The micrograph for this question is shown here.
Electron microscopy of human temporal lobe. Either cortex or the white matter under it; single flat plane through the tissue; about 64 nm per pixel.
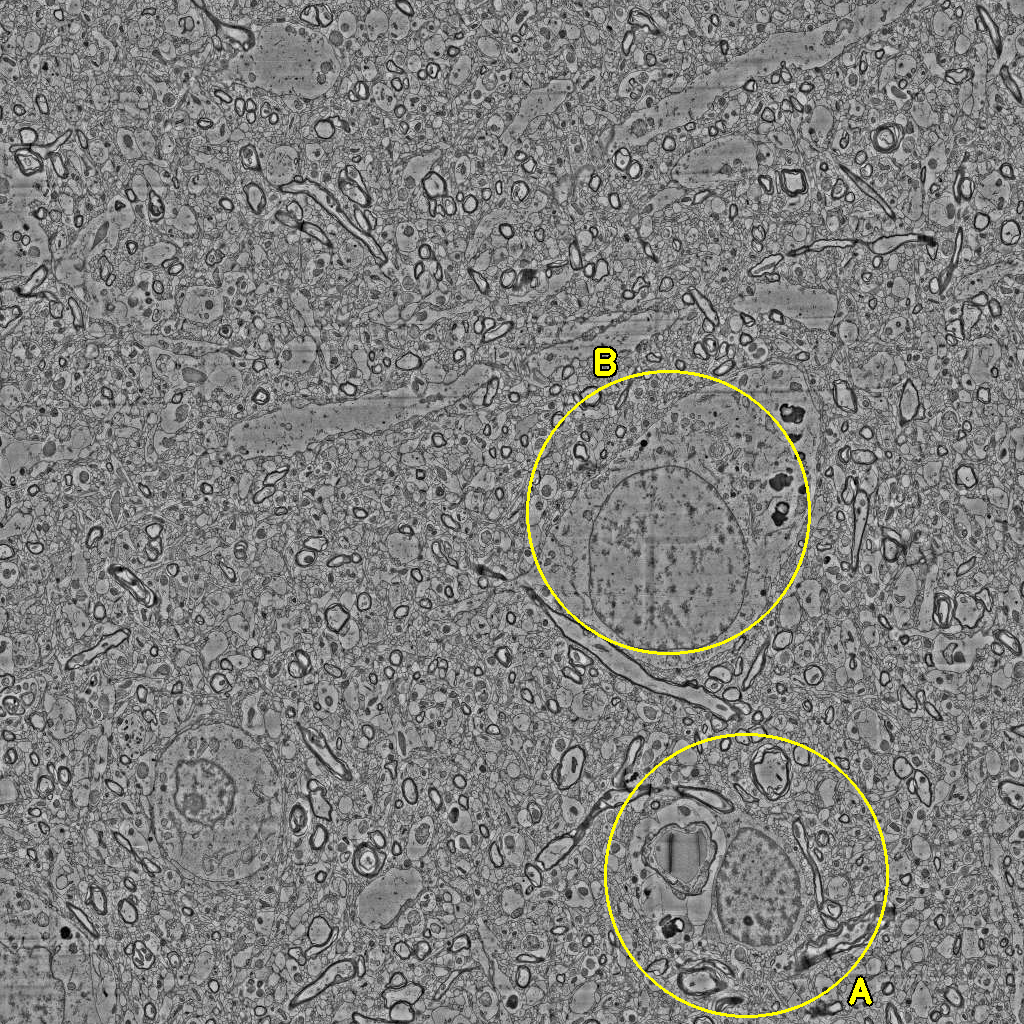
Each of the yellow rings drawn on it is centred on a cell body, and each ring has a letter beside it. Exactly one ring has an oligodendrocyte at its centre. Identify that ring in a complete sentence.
The ring centred on it is ring A.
